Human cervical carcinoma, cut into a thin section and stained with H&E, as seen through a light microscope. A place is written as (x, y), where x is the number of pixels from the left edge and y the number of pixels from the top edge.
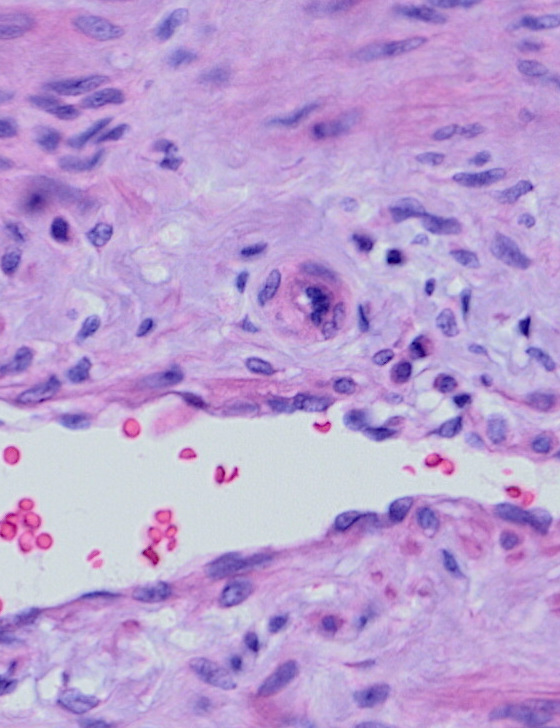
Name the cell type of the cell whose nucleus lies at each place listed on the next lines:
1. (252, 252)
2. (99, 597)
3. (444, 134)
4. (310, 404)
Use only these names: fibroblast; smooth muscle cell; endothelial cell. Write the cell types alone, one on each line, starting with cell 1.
fibroblast
endothelial cell
smooth muscle cell
endothelial cell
